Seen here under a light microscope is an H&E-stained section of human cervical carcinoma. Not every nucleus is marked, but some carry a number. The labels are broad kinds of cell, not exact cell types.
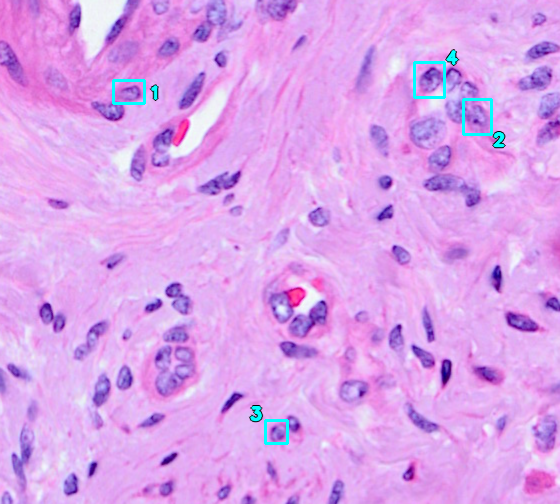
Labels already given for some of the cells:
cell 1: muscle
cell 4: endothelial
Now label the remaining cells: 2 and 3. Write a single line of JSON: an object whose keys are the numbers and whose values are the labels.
{"2": "endothelial", "3": "muscle"}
